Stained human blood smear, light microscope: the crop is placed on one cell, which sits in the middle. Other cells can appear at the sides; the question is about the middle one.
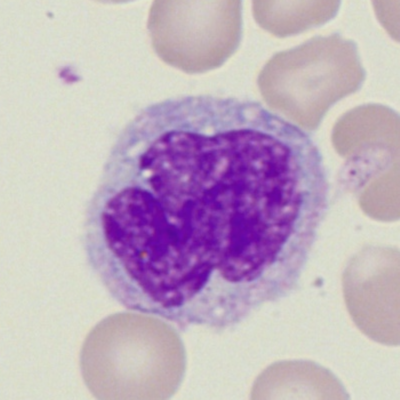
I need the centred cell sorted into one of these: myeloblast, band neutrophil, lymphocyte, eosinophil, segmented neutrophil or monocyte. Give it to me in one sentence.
By type, the central cell of the crop is a monocyte.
